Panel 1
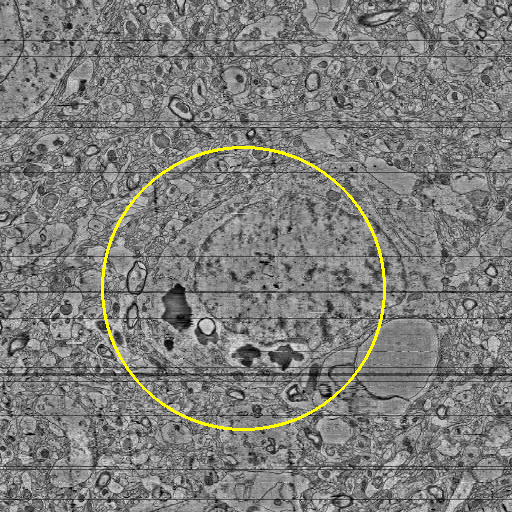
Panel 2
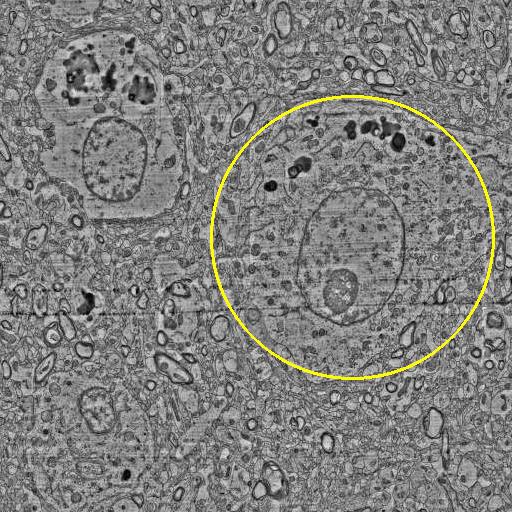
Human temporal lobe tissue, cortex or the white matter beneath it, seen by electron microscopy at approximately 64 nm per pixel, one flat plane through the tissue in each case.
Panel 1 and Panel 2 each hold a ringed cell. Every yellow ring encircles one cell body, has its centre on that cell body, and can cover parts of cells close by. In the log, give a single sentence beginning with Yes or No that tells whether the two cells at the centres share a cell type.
No, in Panel 1 and Panel 2 the centred cells are of two cell types.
